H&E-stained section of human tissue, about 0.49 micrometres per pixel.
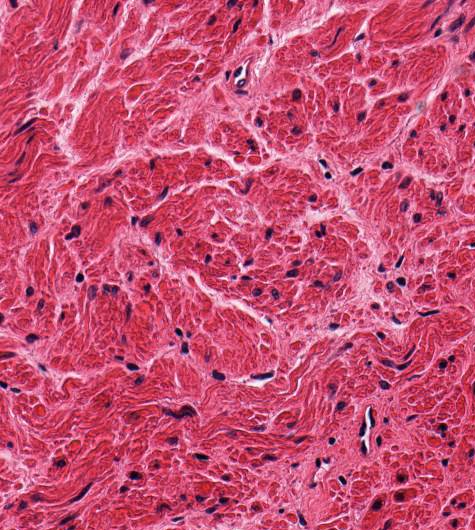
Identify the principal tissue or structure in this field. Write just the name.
fibromuscular stroma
